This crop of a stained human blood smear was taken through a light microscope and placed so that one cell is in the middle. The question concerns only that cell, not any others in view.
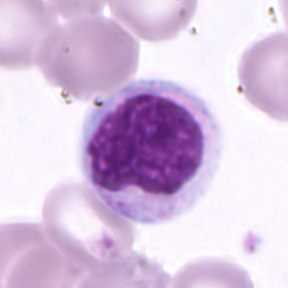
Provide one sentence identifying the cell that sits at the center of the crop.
The cell of interest, in the center, is a metamyelocyte.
